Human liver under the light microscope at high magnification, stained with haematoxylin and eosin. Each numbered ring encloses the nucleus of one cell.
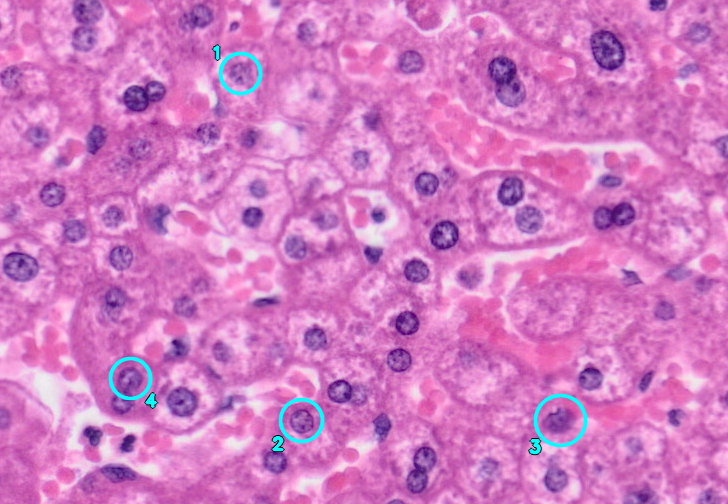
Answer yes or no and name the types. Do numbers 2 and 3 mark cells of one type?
No, cell 2 is a hepatocyte whereas cell 3 is an endothelial cell.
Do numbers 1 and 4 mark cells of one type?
Yes, sure, cells 1 and 4 are both hepatocytes.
